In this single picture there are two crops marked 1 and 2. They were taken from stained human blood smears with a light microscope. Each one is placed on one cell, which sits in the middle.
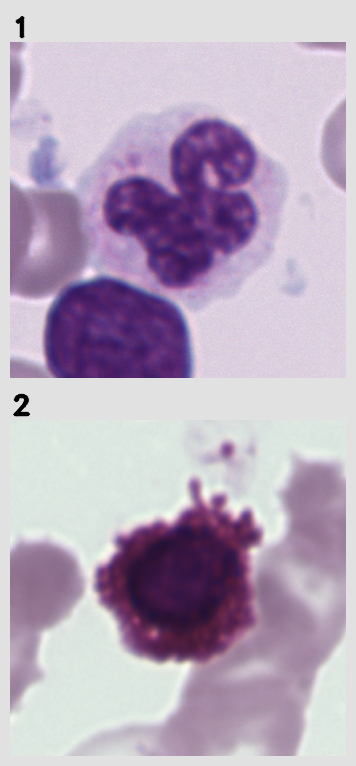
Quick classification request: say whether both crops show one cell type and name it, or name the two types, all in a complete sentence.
No, crop 1 contains a segmented neutrophil, whereas crop 2 contains an eosinophil.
